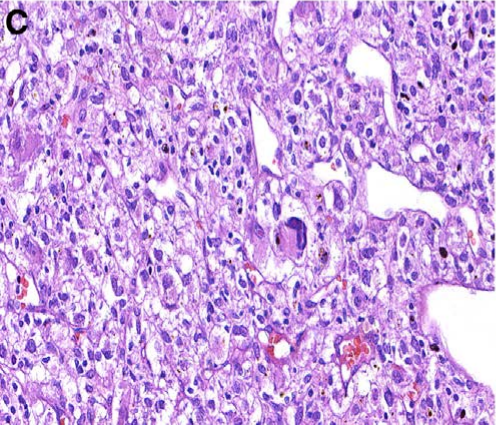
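This is a sheet of epithelioid-like tumor cells gathered around thin-walled vessels. Their nuclei are round to oval and vary in size, with one cell holding a large, dark, irregular nucleus, and each cell has a broad rim of clear to pale pink cytoplasm. Open vascular spaces, some with red blood cells, lie between the cells.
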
